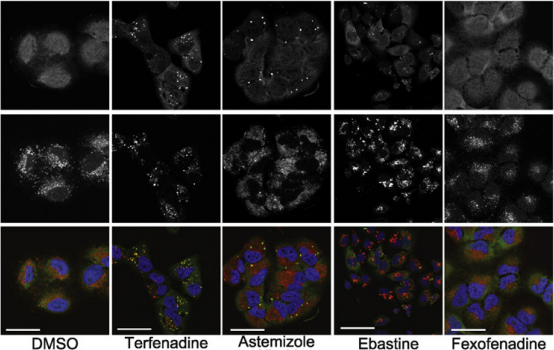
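A grid of confocal images of cultured epithelial-like cells, shown as single channels in grayscale in the upper two rows and as a color merge in the lower row. The middle-row channel shows many small bright dots clustered in the cytoplasm around the nuclei, while the upper-row channel is diffuse through the cells in some columns and collects into scattered bright dots in others. In the merge, oval blue nuclei sit within clustered cells surrounded by red cytoplasmic dots, and in some columns yellow dots mark places where the green and red coincide.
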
